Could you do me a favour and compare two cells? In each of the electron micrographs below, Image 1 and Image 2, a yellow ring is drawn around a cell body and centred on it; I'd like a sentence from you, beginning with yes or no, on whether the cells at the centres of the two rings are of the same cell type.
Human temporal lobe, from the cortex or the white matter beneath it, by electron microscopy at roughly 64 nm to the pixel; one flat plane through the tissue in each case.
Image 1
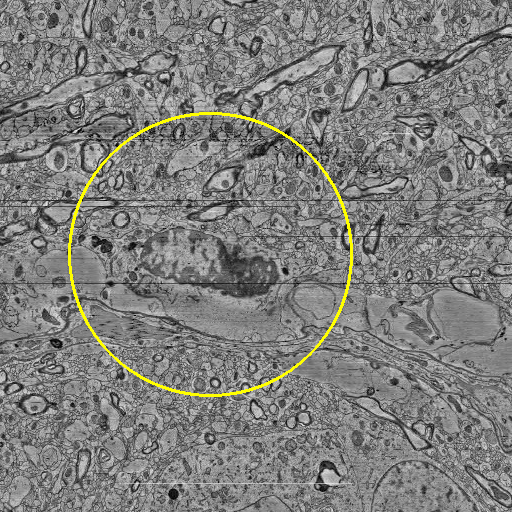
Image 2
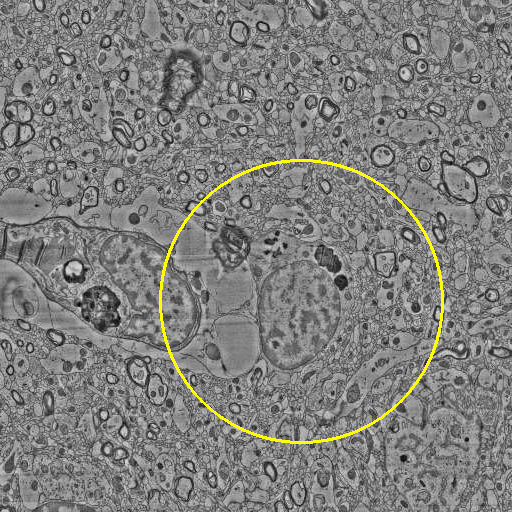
No, the two cells are of two cell types.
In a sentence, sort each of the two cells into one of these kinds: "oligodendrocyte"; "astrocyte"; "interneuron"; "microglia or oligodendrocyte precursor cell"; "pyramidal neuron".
The first of the two cells is a microglial cell or oligodendrocyte precursor cell, and the second is an oligodendrocyte.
